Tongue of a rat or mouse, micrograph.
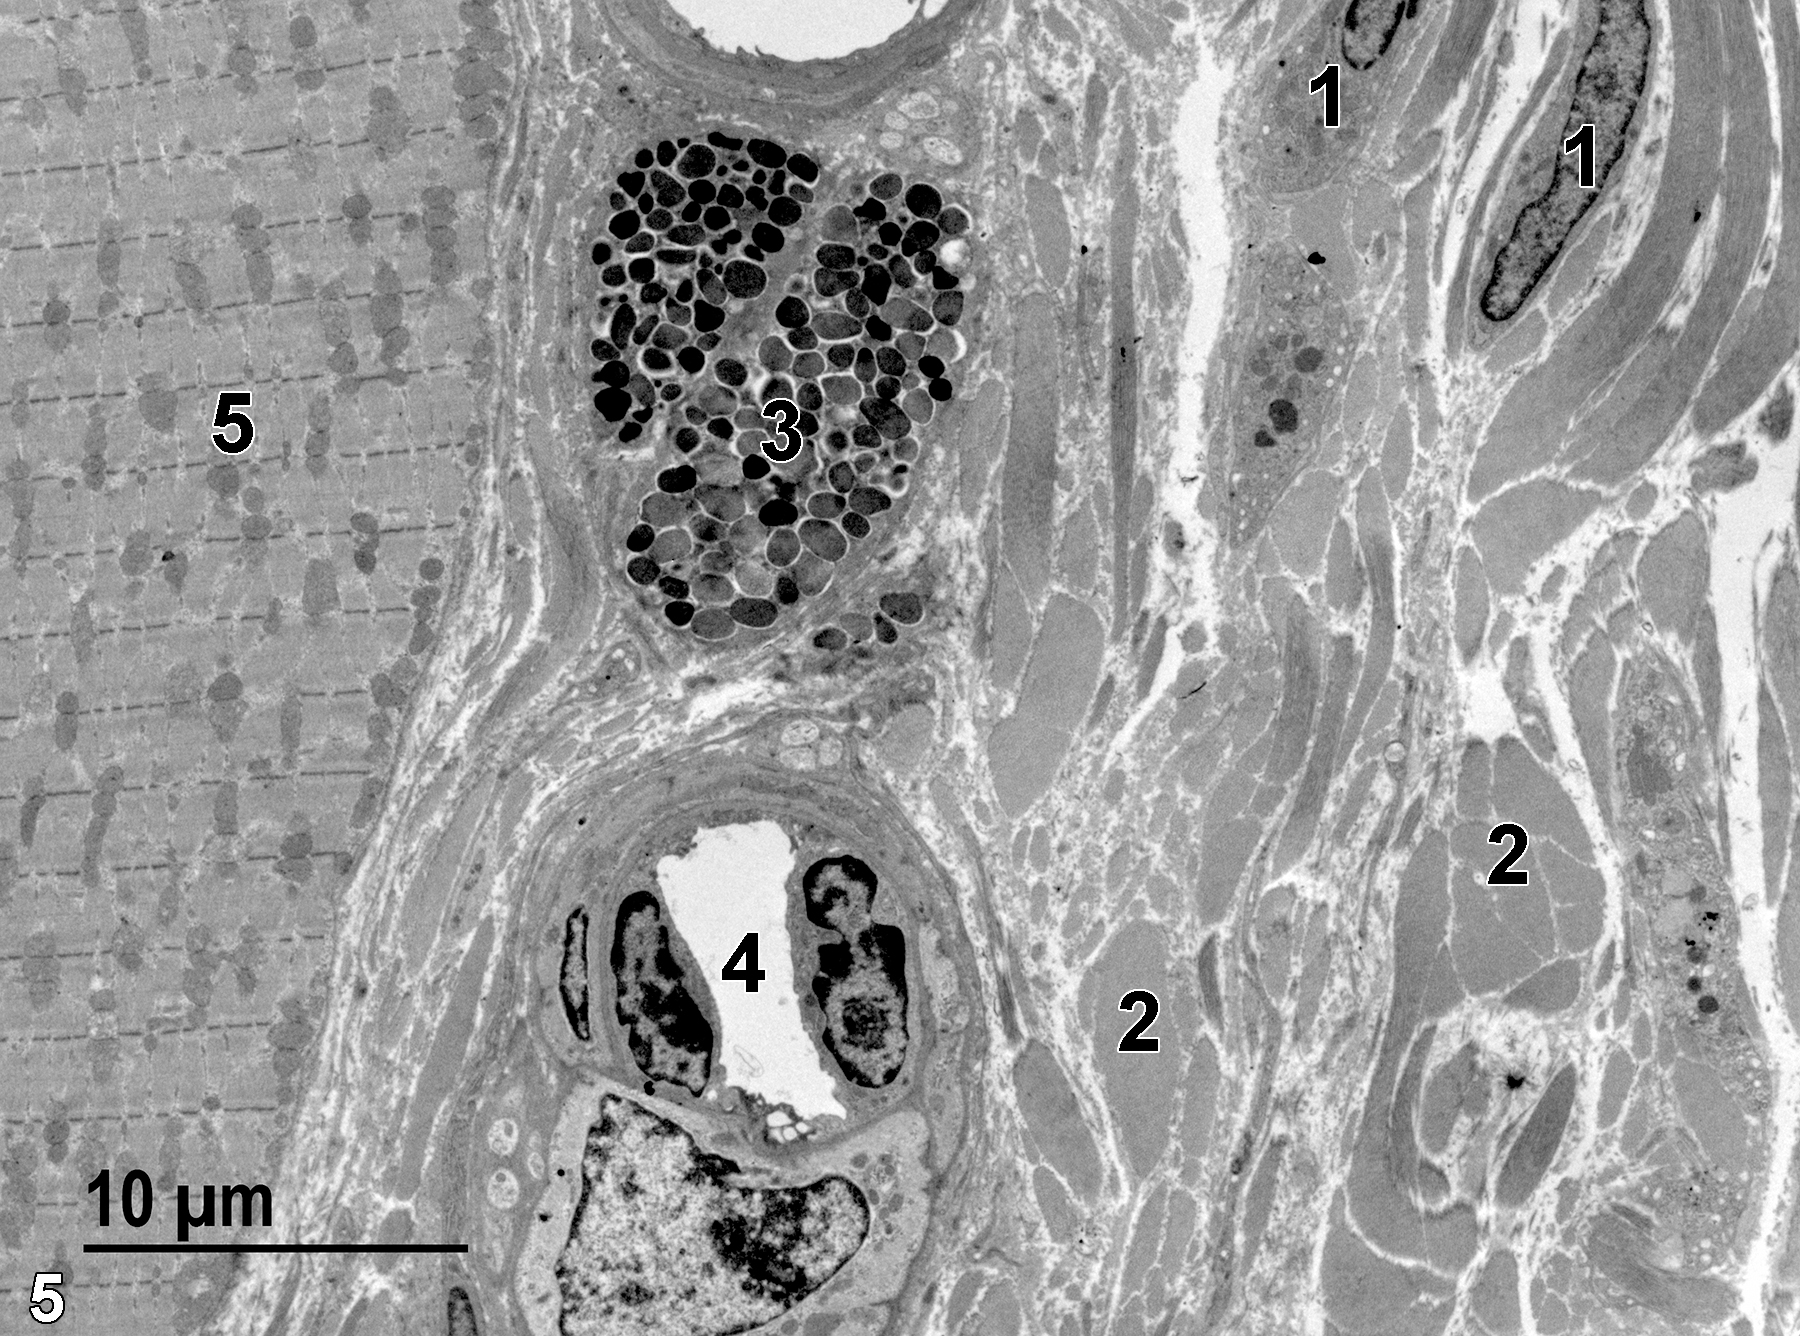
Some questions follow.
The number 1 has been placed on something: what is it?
1 marks the fibroblasts.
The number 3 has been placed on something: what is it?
Mast cell.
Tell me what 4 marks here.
The number 4 marks the capillary.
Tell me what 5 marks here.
At 5: striated muscle cell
